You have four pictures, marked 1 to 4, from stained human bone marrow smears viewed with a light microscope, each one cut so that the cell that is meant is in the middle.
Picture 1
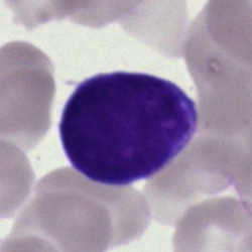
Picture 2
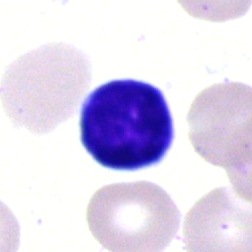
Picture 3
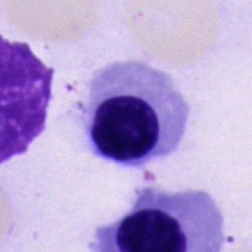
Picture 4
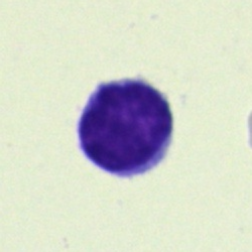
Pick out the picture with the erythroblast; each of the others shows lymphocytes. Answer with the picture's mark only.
3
